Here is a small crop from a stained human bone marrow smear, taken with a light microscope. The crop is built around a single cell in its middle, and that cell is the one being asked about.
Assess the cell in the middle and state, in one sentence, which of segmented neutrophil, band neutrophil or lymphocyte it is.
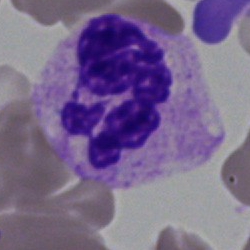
What sits at the centre of this crop is a segmented neutrophil.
